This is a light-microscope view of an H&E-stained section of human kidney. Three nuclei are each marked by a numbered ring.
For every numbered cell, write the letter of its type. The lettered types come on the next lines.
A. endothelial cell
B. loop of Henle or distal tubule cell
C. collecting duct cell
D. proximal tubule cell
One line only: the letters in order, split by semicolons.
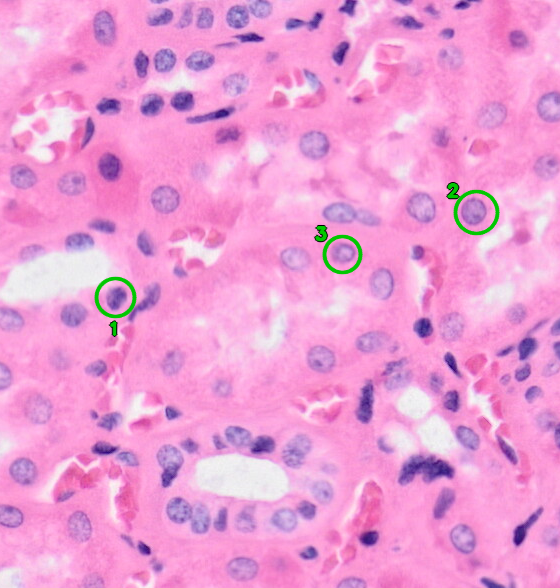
B; D; D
